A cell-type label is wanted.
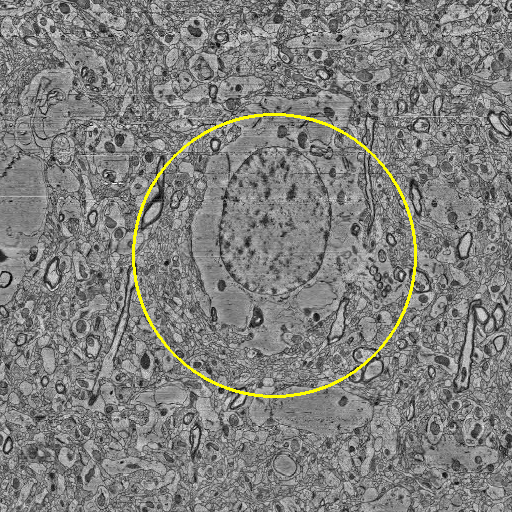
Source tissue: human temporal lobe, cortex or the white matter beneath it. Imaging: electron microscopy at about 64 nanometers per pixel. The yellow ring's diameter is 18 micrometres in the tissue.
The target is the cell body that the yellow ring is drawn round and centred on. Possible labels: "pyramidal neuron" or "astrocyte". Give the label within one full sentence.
Of the labels offered, the cell in the middle of the yellow ring is an astrocyte.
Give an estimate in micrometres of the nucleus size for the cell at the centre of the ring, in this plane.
The nucleus measures about 10 by 7 micrometres in this plane.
